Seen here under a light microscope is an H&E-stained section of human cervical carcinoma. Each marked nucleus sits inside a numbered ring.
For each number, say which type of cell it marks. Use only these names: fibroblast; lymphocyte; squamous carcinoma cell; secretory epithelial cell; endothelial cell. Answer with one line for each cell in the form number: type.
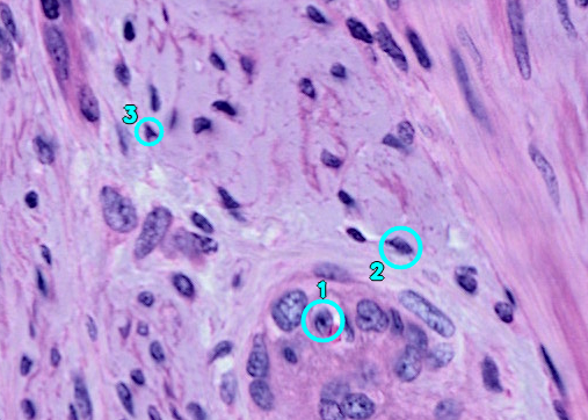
1: endothelial cell
2: fibroblast
3: fibroblast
